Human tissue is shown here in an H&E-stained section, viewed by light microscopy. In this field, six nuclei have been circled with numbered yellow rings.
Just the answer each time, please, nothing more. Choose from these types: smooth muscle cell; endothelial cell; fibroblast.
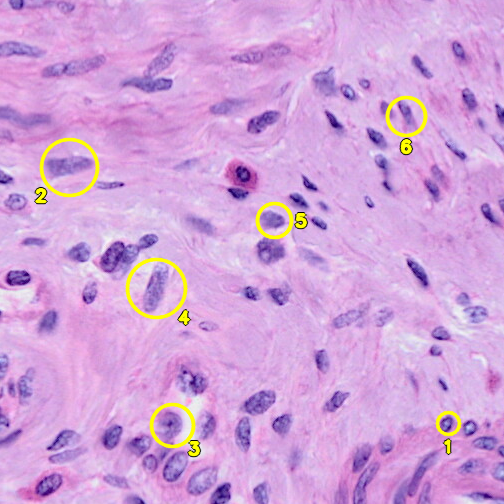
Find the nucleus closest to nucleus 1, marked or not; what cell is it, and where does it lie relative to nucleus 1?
a smooth muscle cell to the right of nucleus 1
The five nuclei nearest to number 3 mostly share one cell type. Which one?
endothelial cell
